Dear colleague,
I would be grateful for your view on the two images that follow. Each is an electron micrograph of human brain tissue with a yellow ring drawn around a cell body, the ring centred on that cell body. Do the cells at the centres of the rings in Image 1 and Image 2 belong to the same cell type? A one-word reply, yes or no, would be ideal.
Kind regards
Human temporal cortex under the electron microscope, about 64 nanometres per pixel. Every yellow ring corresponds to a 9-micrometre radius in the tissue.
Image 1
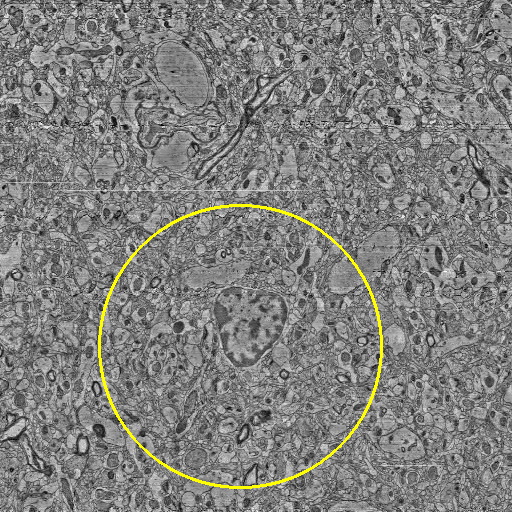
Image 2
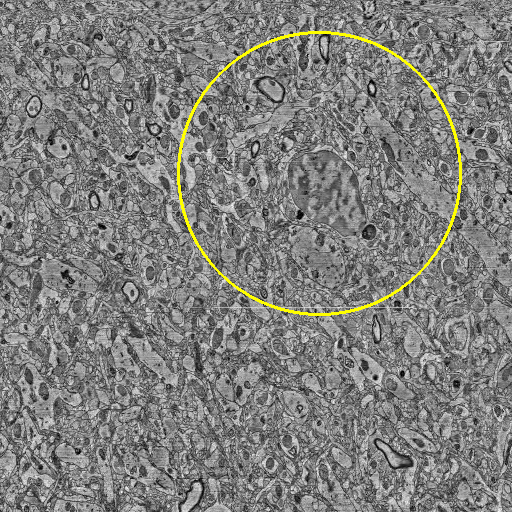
yes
